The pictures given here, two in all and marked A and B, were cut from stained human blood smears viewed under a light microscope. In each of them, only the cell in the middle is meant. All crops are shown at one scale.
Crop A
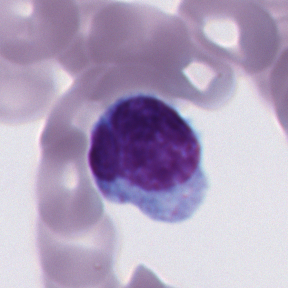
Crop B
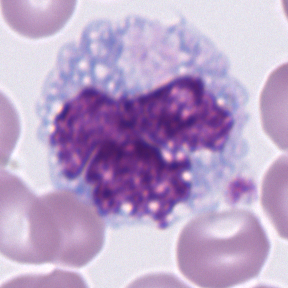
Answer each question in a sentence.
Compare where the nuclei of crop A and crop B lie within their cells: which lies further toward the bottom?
Seen within its cell, the nucleus in crop B lies further toward the bottom.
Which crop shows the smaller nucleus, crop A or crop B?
The nucleus in crop A is smaller; the one in crop B has about 2 times its area.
